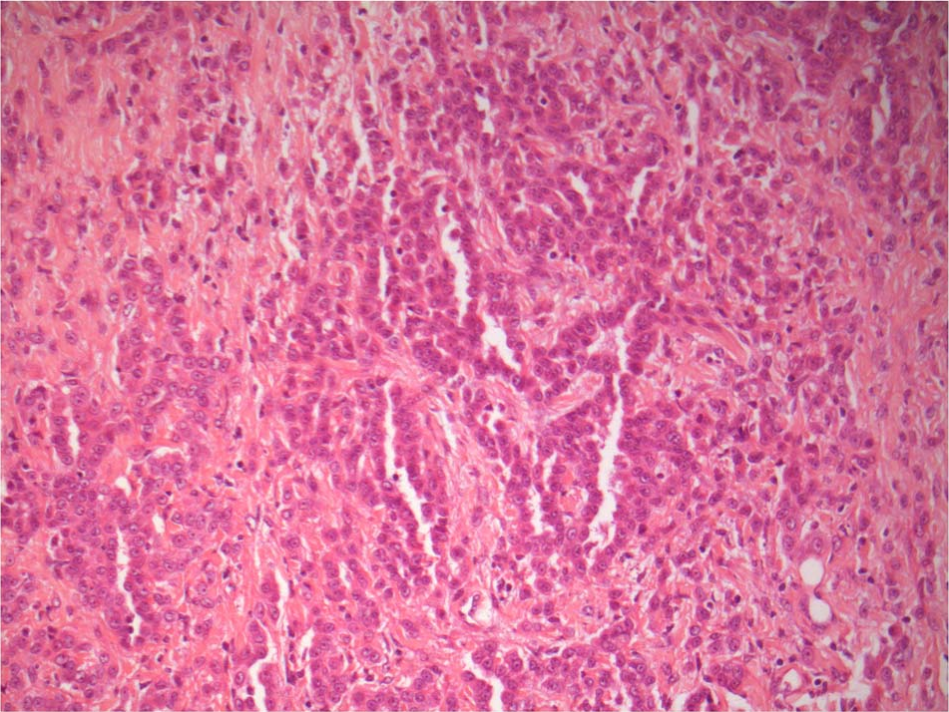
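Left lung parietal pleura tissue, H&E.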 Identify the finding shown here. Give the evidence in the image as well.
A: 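Nuclei vary somewhat in size and shape. Many nuclei show a distinct dark dot of a nucleolus. Cytoplasm stains pink. The answer: mild to moderately pleomorphic nuclei, visible nucleoli and eosinophilic cytoplasm.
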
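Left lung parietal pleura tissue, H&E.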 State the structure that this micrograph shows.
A: cords, nests and tubular structures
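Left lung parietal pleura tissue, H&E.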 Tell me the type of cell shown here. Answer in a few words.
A: Epithelioid tumour cells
